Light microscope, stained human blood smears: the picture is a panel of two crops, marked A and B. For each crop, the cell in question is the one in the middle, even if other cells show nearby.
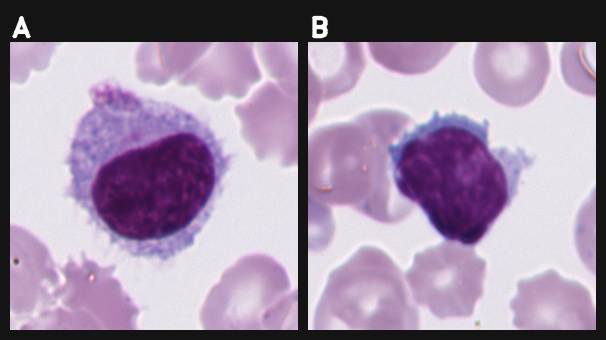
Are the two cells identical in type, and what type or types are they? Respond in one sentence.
No, a hairy cell is the cell in crop A; a typical lymphocyte is the cell in crop B.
